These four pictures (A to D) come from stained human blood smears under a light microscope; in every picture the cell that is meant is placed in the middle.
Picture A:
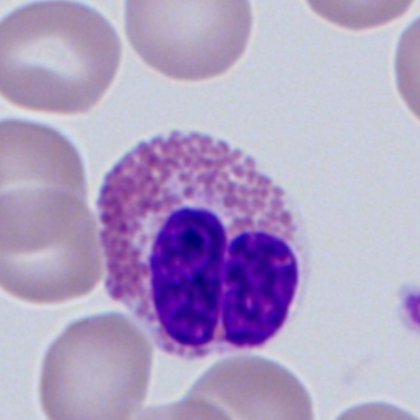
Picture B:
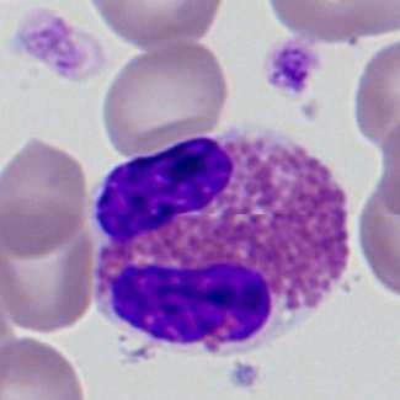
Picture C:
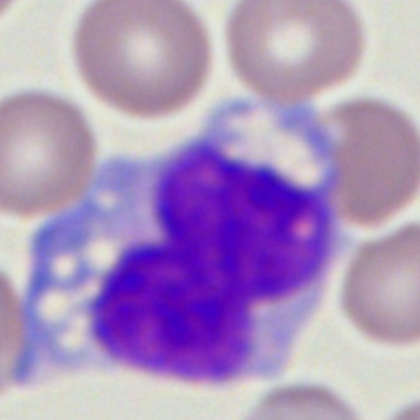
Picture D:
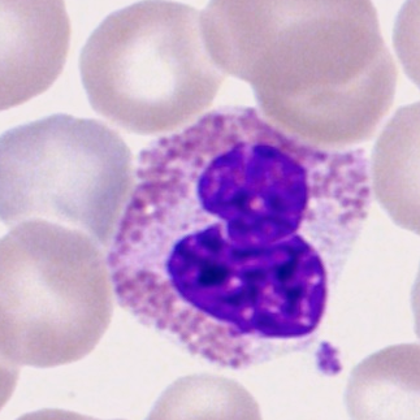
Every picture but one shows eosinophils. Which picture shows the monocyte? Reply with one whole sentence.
Picture C is the one that shows the monocyte.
